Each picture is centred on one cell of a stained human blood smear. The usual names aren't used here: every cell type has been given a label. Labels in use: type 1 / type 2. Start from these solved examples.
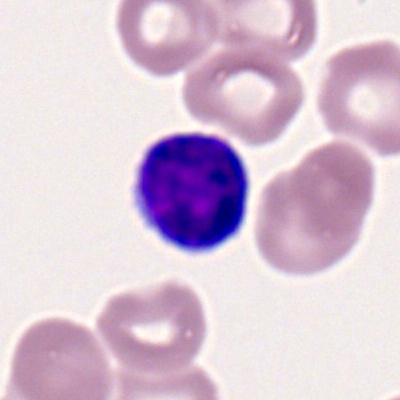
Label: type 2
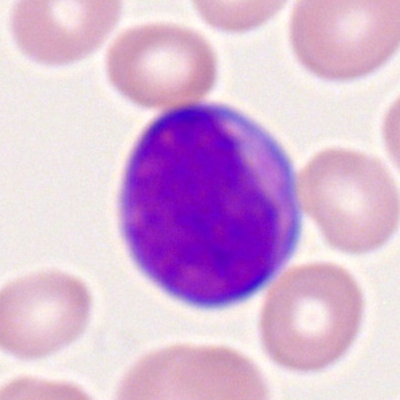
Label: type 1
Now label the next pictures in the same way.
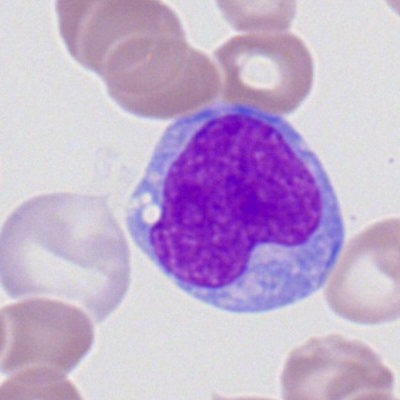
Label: type 1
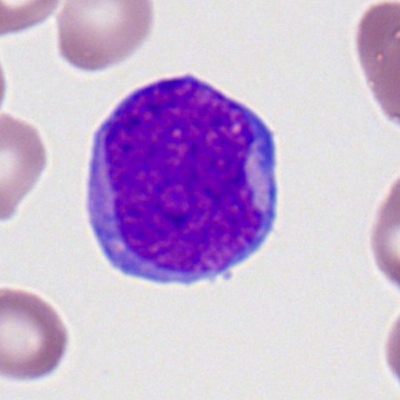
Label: type 1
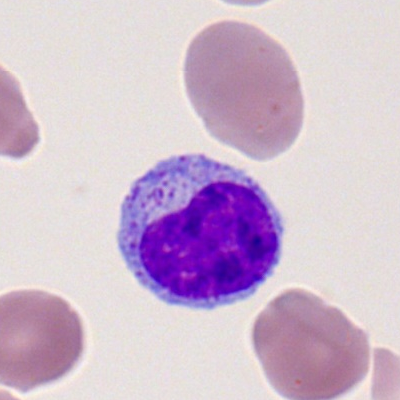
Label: type 2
